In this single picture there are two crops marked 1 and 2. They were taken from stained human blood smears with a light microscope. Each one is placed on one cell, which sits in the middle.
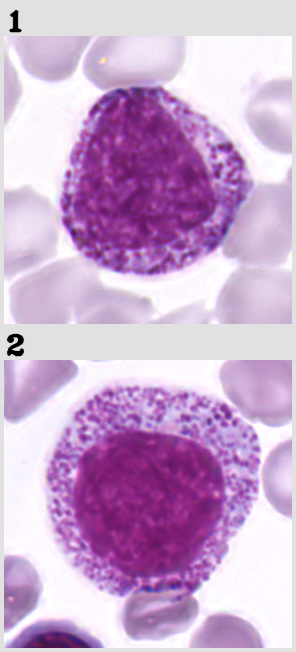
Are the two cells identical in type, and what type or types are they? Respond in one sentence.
Yes, myelocytes are depicted in both crops.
